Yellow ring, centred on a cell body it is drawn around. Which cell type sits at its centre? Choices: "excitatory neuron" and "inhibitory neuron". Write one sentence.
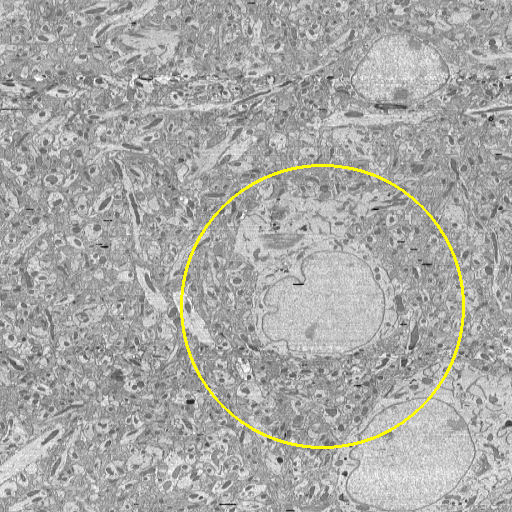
At the centre of the ring sits an excitatory neuron.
